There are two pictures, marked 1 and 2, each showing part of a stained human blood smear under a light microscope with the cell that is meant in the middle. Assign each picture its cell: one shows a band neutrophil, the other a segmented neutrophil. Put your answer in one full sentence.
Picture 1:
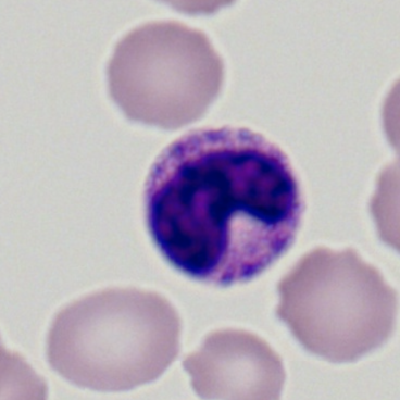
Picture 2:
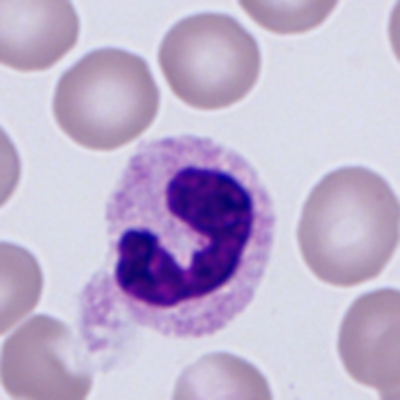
It is picture 1 that shows a band neutrophil, and picture 2 that shows a segmented neutrophil.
